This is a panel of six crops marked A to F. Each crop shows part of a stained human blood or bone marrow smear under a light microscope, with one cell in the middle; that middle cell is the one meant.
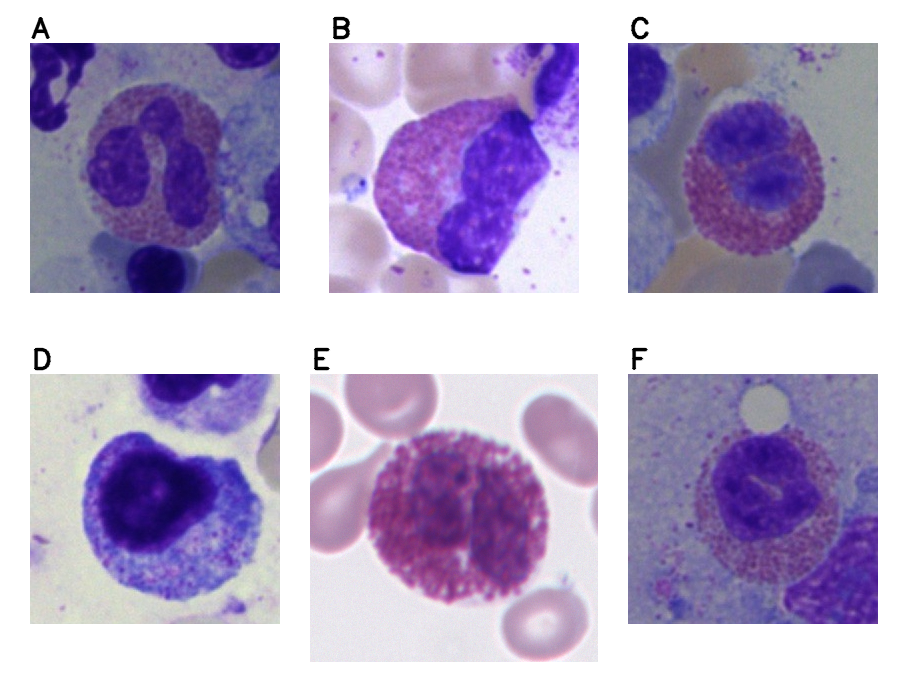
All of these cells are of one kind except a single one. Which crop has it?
D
